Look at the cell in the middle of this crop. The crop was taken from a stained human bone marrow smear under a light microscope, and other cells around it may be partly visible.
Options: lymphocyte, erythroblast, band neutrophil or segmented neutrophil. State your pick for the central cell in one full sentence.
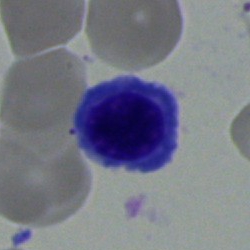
As for the cell in the middle, it is an erythroblast.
